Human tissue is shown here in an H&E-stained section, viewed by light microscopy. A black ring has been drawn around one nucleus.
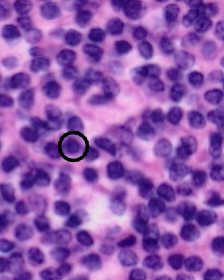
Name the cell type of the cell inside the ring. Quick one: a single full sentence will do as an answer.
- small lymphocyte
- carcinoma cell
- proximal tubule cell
In this preparation, the cell inside the ring is a small lymphocyte.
